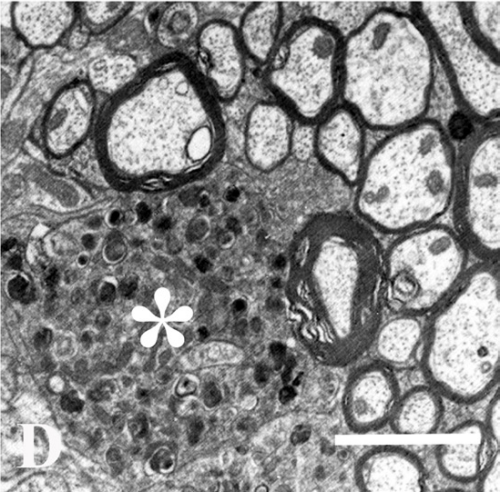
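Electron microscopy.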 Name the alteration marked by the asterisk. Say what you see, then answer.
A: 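The asterisk lies in a large profile far wider than the surrounding axons. This profile is packed with dark dense bodies and vesicles instead of the pale, evenly dotted axoplasm of its neighbours.
Dilated axons.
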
